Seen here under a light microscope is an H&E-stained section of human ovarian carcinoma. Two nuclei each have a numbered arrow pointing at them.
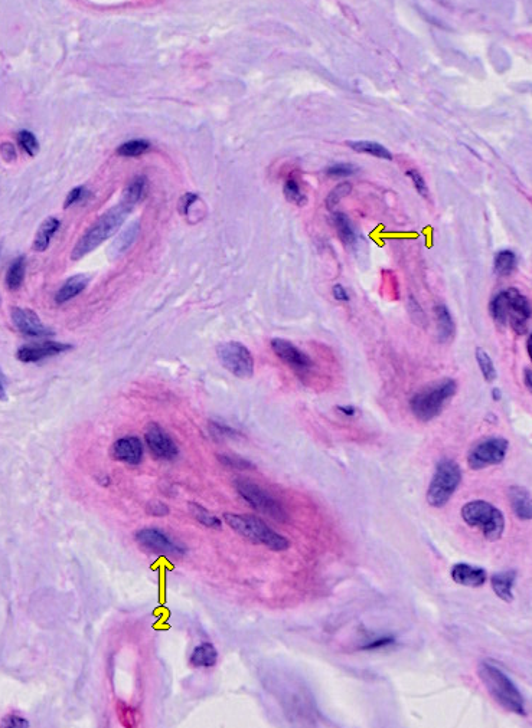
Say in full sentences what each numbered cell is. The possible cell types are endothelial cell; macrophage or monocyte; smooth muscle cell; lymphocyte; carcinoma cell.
Cell 1 is an endothelial cell and cell 2 is a smooth muscle cell.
